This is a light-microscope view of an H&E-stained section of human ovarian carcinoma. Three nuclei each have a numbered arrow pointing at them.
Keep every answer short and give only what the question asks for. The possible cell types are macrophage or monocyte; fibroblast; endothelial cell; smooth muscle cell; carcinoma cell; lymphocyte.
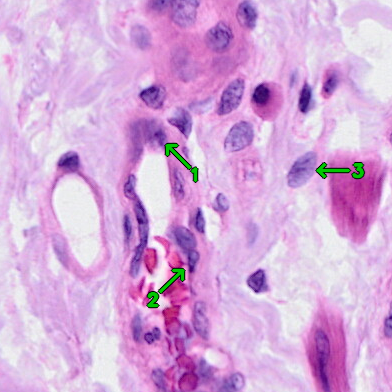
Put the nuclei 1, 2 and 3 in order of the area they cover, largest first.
3, 1, 2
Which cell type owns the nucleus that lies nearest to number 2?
endothelial cell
